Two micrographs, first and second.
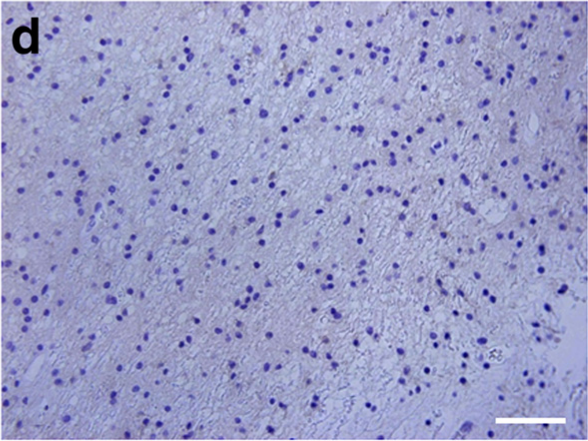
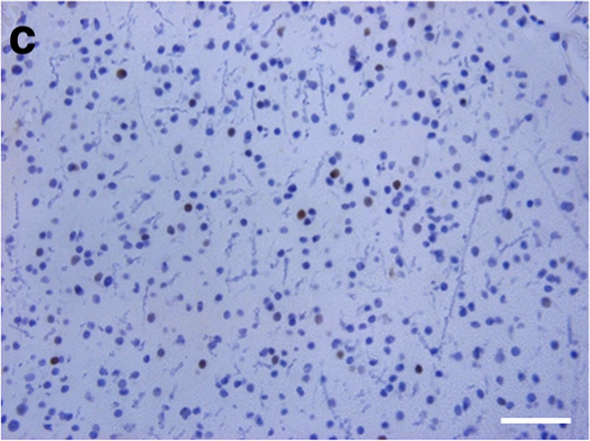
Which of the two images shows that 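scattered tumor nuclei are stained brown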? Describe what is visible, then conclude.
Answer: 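First image: all nuclei are blue, with no distinct brown staining. Second image: a number of scattered nuclei are brown among many blue ones.
Answer: the second image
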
